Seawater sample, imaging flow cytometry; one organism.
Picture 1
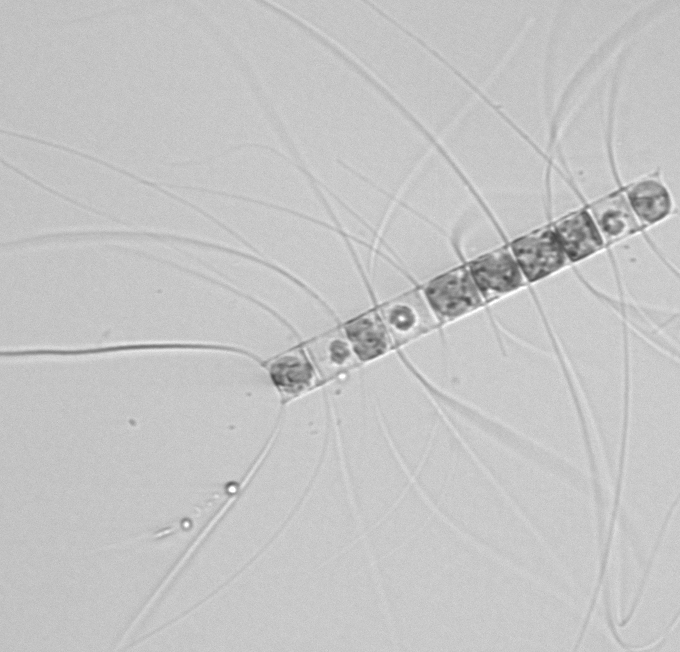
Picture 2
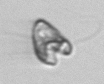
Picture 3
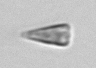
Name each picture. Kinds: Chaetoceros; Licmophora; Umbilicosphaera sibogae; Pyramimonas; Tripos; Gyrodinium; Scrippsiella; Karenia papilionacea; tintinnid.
1: Chaetoceros
2: Pyramimonas
3: Licmophora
